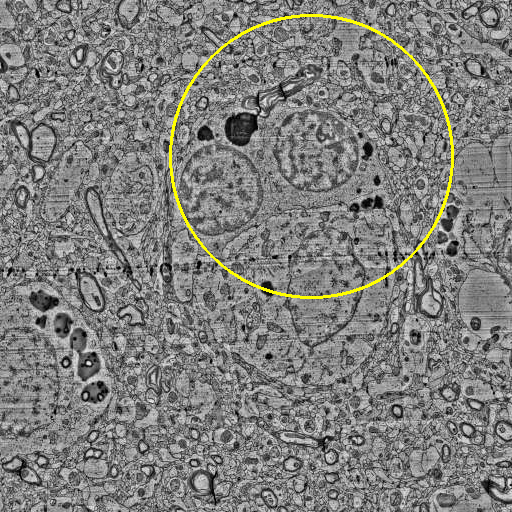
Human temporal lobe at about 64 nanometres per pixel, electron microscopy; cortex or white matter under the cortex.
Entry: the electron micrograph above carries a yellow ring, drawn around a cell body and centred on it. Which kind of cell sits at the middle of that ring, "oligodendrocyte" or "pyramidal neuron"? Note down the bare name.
oligodendrocyte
